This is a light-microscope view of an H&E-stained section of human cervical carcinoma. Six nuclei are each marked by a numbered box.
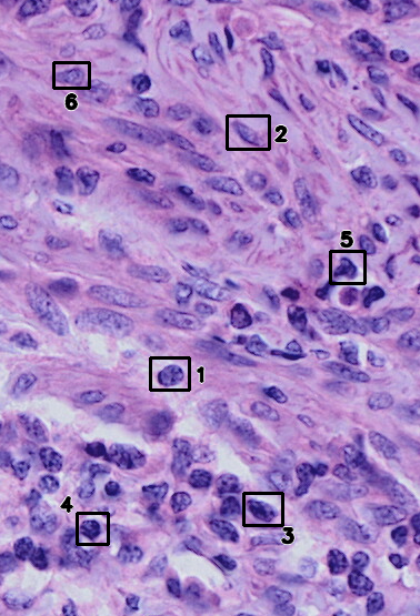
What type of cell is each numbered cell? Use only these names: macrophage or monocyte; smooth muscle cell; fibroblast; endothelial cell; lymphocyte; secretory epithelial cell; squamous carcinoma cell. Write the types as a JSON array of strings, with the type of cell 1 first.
["lymphocyte", "smooth muscle cell", "lymphocyte", "lymphocyte", "lymphocyte", "smooth muscle cell"]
